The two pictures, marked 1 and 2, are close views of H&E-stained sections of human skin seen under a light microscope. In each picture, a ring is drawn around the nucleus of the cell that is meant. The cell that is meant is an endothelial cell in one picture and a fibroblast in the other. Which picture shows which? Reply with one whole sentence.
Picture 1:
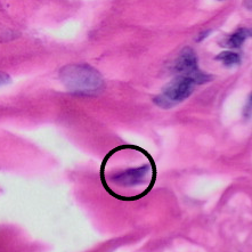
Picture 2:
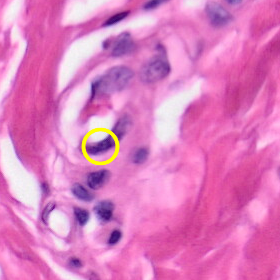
Picture 1 shows a fibroblast and picture 2 shows an endothelial cell.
